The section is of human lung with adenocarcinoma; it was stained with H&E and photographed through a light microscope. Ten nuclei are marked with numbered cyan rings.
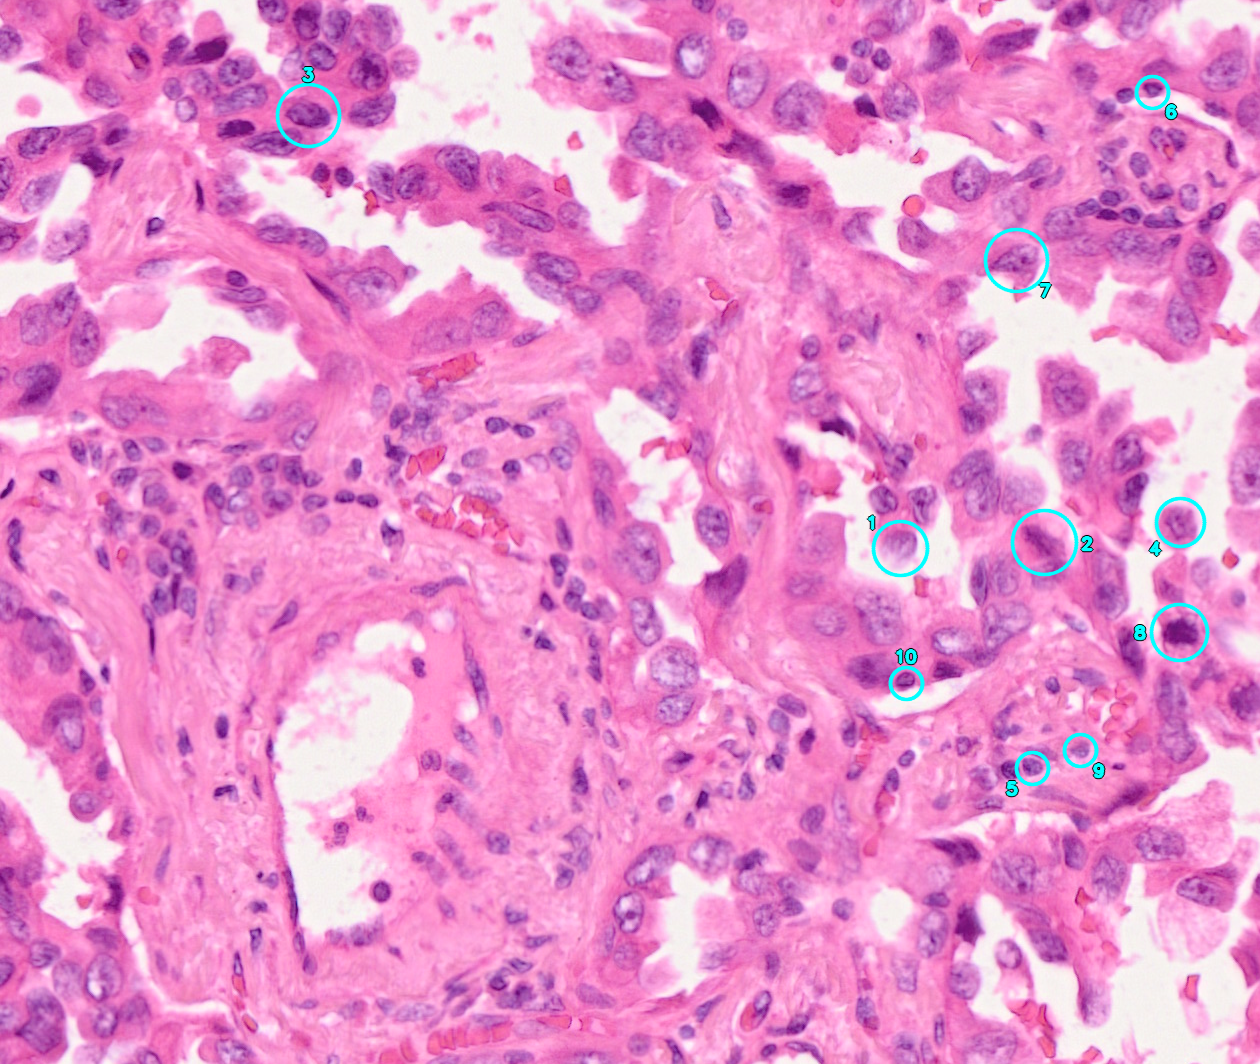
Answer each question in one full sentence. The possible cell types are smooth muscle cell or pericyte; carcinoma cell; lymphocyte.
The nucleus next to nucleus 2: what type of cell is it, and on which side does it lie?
It is a carcinoma cell, whose nucleus lies below nucleus 2.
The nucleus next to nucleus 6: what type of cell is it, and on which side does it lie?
The closest nucleus belongs to a carcinoma cell and sits above nucleus 6.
